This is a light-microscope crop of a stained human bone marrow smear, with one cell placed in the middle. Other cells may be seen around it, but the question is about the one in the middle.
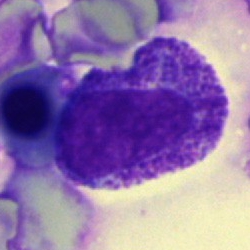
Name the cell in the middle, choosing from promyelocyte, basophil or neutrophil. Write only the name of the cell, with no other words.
promyelocyte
